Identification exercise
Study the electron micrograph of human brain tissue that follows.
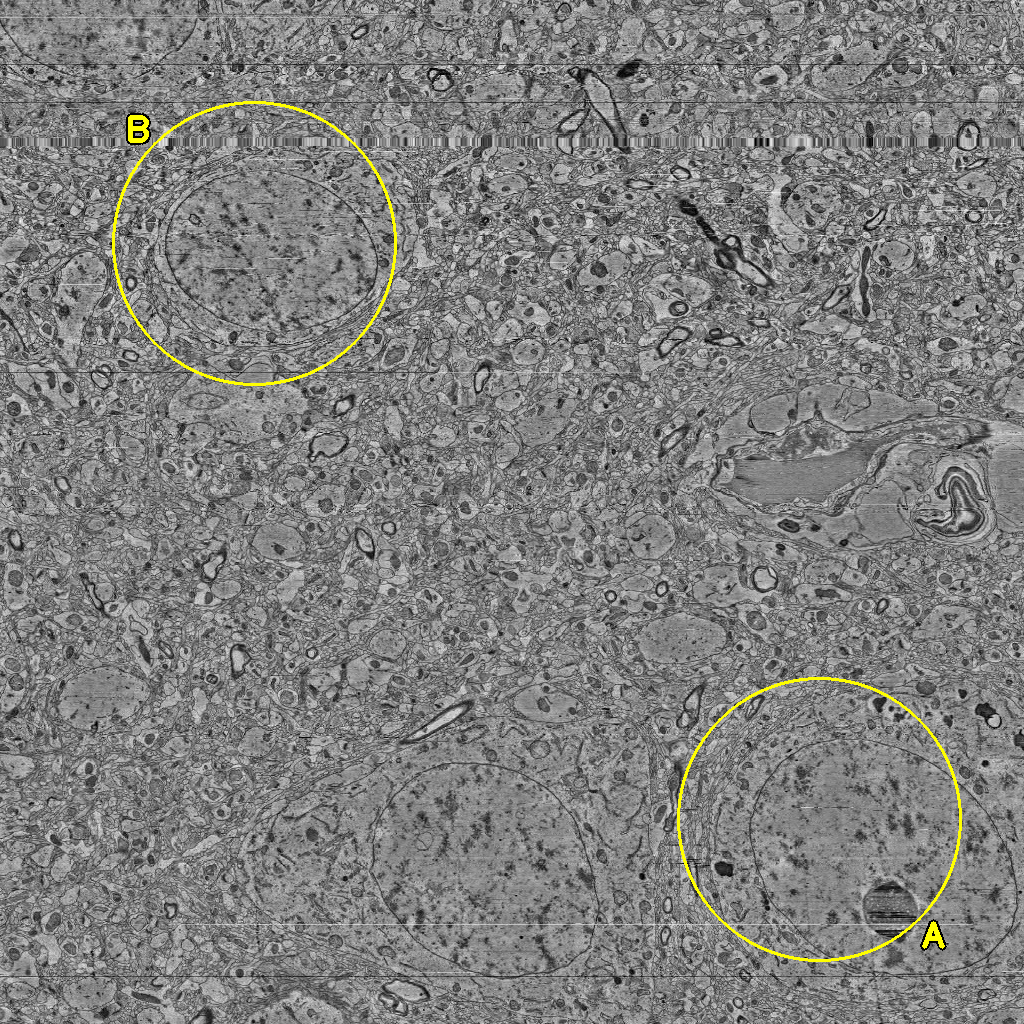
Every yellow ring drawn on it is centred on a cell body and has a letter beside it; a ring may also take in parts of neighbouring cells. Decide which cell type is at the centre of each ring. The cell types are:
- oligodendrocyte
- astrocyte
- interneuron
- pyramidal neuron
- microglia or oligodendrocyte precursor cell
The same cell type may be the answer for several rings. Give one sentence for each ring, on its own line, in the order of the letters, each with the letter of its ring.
Ring A encircles a pyramidal neuron.
Ring B encircles a pyramidal neuron.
